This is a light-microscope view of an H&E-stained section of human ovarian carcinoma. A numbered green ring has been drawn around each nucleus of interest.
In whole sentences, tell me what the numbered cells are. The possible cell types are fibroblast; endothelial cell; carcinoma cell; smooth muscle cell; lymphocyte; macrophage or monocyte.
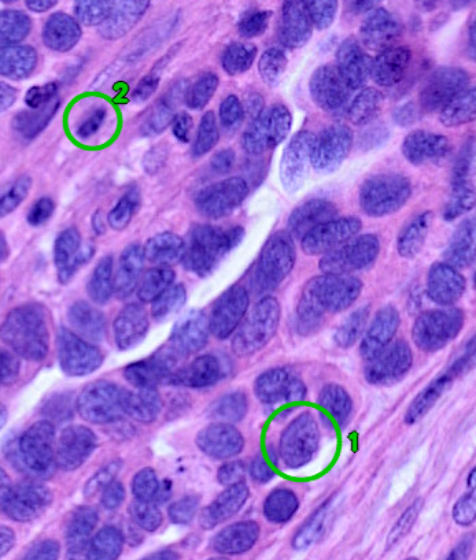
Cell 1 is a carcinoma cell. Cell 2 is a lymphocyte.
